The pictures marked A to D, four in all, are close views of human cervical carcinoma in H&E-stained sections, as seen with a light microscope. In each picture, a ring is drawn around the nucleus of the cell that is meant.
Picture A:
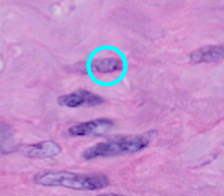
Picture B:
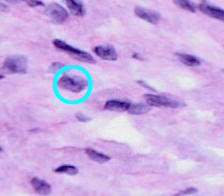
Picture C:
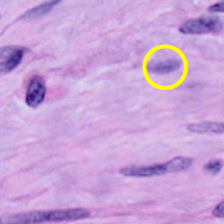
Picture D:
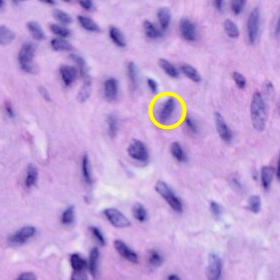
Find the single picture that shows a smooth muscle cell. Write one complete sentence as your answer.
Picture A shows the smooth muscle cell.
